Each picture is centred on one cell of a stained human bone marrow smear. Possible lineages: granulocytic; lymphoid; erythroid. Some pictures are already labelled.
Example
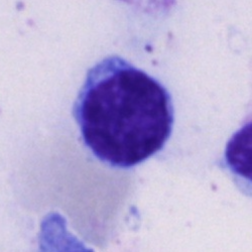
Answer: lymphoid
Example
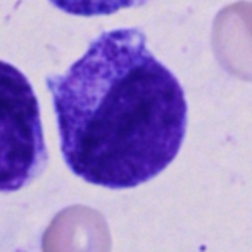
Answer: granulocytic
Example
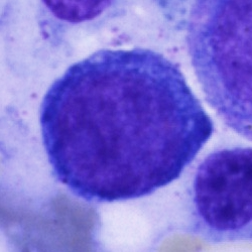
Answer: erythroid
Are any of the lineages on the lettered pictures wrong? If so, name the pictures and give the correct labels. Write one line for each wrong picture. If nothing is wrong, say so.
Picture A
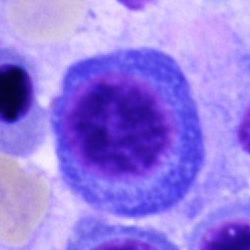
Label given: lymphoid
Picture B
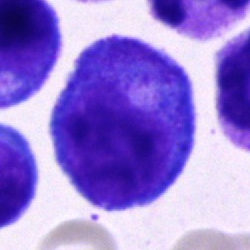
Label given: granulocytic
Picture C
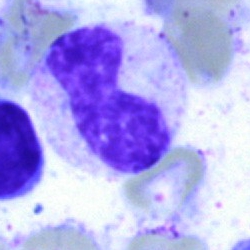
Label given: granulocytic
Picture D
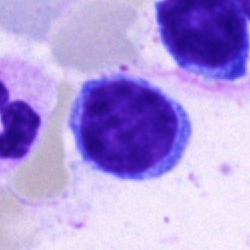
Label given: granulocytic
Wrong: D (granulocytic); correct: lymphoid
